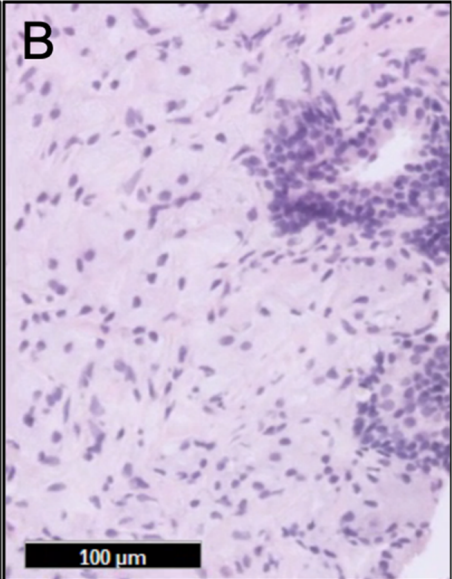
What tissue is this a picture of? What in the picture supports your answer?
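Stroma. Most of the field is pale pink fibrous tissue. Scattered elongated, spindle-shaped nuclei lie within the pink fibres. A cluster of crowded nuclei around a lumen sits at the upper right edge.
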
